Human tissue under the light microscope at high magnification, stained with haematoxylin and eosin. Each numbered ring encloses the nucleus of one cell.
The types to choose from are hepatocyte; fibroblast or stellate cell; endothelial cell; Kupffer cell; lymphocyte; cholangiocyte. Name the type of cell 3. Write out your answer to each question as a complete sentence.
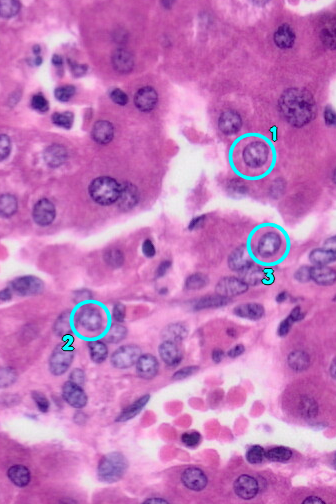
The marked cell bearing number 3 is a cholangiocyte.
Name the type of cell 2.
Among the marked cells, number 2 is a cholangiocyte.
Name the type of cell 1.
The cell bearing label 1 corresponds to a hepatocyte.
